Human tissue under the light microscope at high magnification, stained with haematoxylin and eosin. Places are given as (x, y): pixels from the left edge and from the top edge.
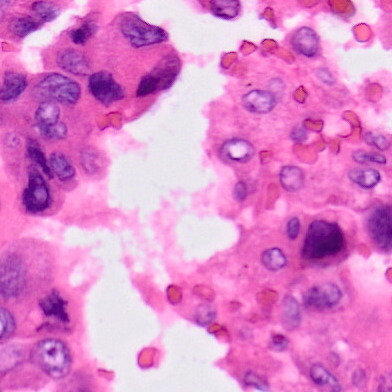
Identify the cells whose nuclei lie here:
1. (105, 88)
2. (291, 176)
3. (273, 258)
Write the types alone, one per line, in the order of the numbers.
carcinoma cell
macrophage or monocyte
macrophage or monocyte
